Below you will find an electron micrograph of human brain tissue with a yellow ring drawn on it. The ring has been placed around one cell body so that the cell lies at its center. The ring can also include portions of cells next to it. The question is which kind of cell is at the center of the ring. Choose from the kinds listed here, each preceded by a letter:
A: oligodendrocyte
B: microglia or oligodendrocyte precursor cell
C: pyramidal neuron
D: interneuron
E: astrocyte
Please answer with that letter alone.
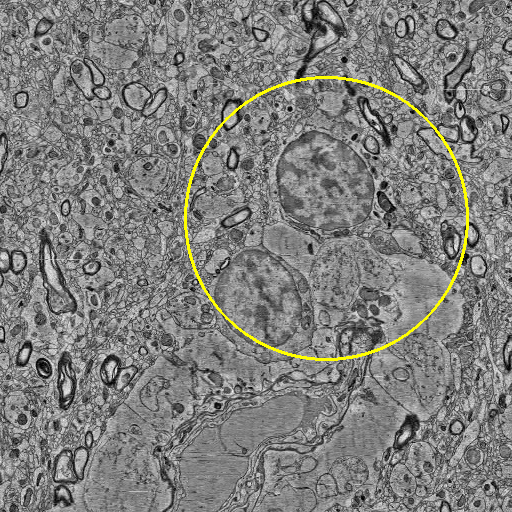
B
